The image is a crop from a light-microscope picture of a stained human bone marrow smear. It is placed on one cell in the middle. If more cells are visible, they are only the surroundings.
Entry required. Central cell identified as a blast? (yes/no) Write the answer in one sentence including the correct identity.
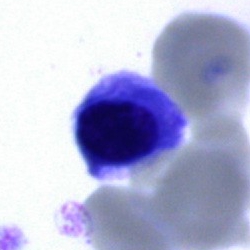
No, what occupies the middle of the crop is an erythroblast and not a blast.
